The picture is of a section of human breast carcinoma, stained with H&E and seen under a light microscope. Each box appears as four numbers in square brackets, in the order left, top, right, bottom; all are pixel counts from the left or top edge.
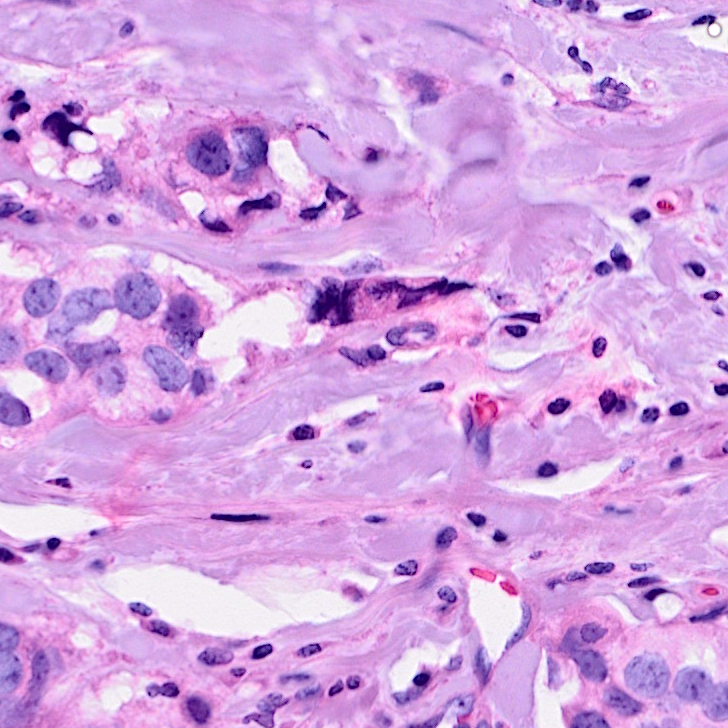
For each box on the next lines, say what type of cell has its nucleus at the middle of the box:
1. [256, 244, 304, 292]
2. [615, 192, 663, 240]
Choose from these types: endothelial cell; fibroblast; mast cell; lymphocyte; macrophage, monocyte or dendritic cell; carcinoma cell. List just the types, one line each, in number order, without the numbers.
fibroblast
lymphocyte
